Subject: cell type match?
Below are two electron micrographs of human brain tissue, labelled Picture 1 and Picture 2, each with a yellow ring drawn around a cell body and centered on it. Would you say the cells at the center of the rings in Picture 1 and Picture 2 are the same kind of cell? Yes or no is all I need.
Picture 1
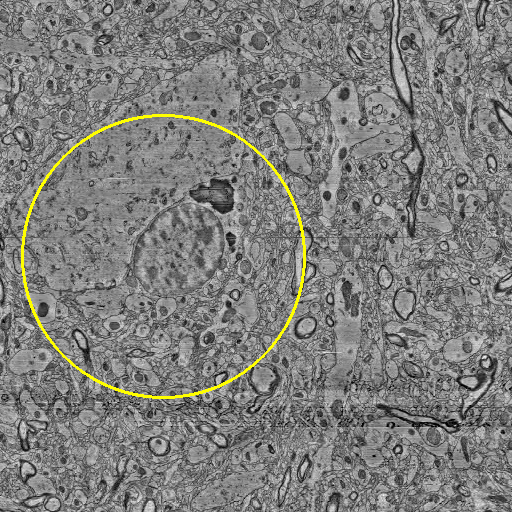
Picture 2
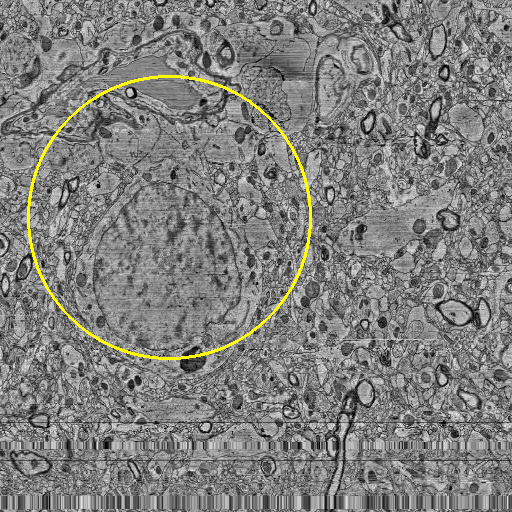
no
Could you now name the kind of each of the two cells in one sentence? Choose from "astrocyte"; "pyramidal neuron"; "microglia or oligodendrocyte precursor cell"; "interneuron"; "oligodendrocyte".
The first ring encloses an oligodendrocyte; the second ring encloses an interneuron.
